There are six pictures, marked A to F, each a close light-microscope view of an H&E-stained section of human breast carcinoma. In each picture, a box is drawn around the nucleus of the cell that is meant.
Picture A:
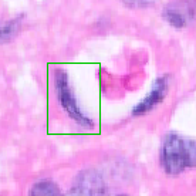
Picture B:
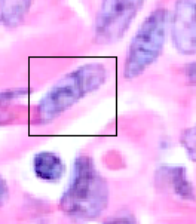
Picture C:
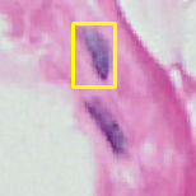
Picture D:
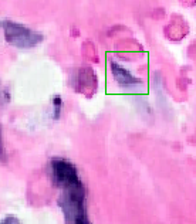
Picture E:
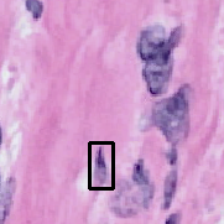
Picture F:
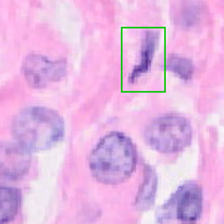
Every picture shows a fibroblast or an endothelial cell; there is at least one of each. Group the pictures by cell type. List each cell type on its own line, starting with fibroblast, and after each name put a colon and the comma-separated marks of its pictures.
fibroblast: E, F
endothelial cell: A, B, C, D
